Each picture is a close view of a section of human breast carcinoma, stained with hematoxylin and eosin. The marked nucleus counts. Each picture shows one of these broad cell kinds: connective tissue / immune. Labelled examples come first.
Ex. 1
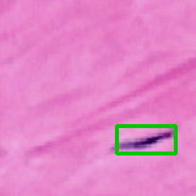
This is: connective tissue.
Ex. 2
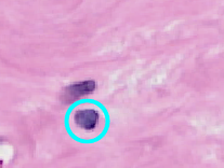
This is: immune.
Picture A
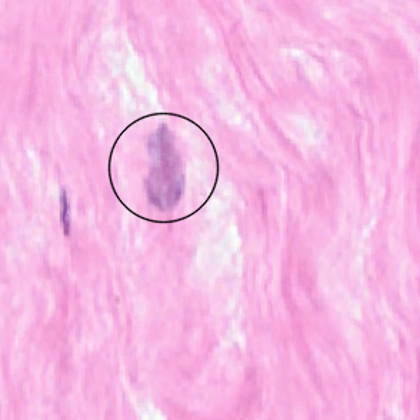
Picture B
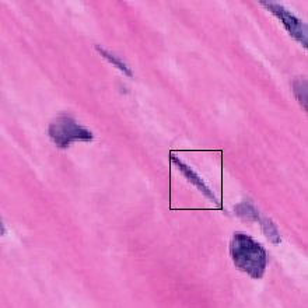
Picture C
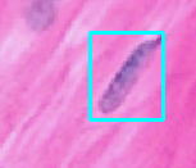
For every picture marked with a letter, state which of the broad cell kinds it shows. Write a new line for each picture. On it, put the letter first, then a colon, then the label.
A: connective tissue.
B: connective tissue.
C: connective tissue.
